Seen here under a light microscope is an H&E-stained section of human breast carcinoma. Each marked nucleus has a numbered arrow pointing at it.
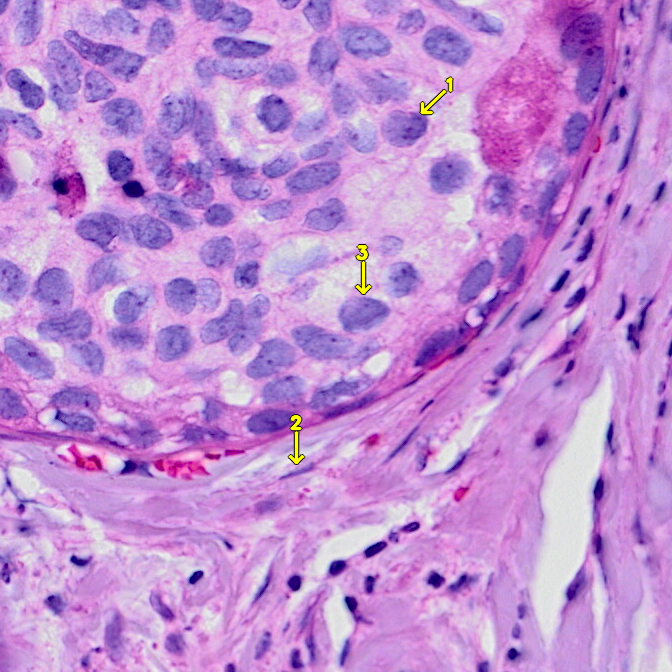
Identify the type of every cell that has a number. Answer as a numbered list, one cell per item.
1. carcinoma cell
2. fibroblast
3. carcinoma cell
